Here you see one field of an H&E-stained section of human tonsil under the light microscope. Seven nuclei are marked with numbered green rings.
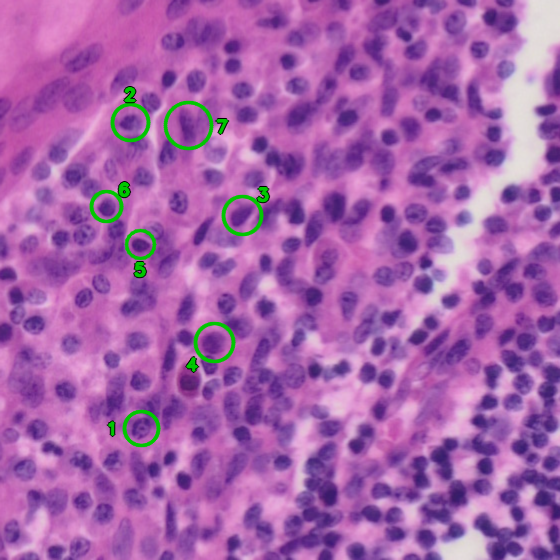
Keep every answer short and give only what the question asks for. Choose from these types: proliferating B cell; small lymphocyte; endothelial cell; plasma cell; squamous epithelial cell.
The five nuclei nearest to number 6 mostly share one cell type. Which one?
plasma cell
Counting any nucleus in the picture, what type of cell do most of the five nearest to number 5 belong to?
squamous epithelial cell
